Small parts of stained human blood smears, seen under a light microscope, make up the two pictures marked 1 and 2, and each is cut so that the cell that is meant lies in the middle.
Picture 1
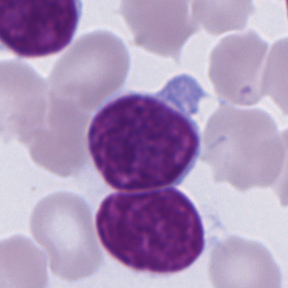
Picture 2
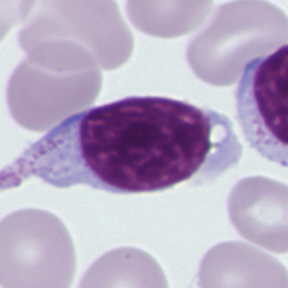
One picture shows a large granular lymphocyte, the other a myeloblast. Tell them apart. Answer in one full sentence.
Picture 1 shows a myeloblast and picture 2 shows a large granular lymphocyte.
